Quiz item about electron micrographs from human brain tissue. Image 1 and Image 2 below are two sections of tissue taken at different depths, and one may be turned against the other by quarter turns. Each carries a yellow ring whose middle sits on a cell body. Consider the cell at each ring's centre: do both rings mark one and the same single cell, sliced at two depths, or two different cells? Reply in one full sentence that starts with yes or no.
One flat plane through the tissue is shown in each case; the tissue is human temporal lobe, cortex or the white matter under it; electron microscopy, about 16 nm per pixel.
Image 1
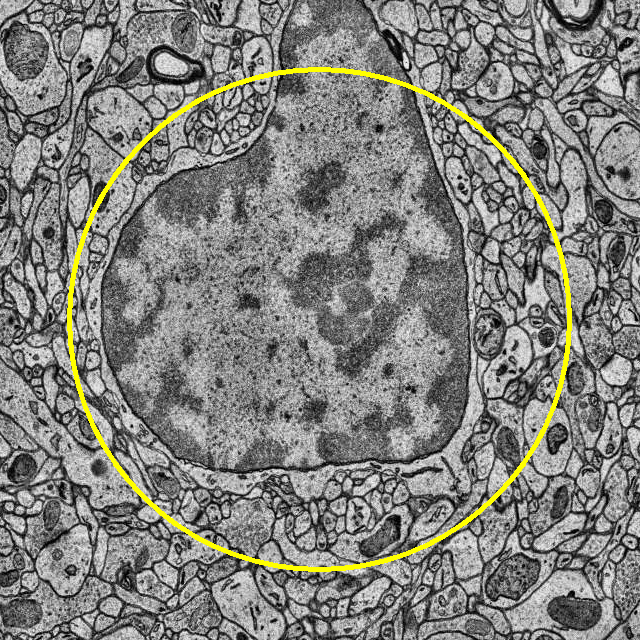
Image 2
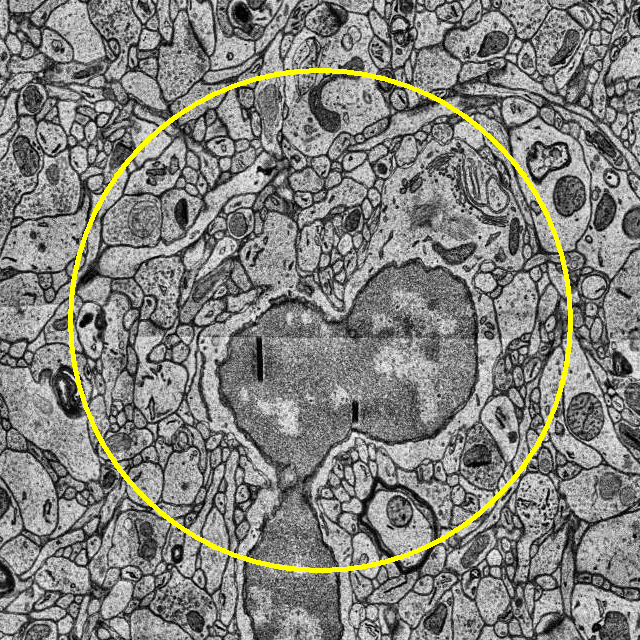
Yes, a single cell is marked twice, once by each yellow ring.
